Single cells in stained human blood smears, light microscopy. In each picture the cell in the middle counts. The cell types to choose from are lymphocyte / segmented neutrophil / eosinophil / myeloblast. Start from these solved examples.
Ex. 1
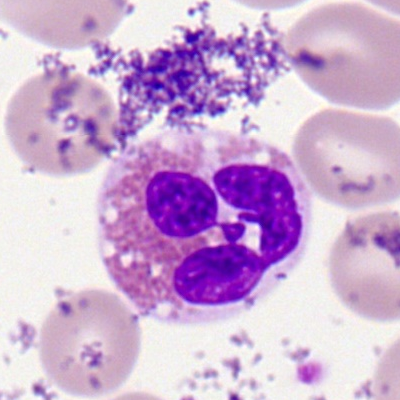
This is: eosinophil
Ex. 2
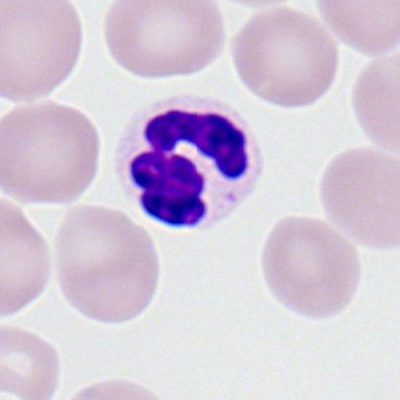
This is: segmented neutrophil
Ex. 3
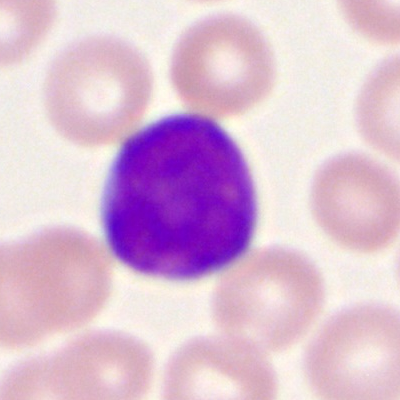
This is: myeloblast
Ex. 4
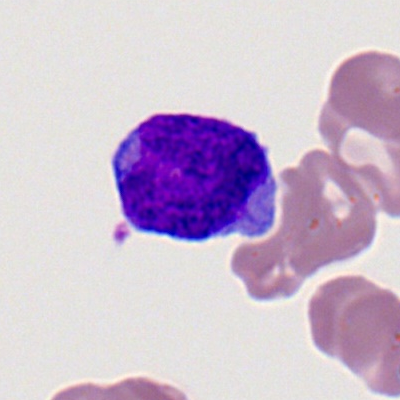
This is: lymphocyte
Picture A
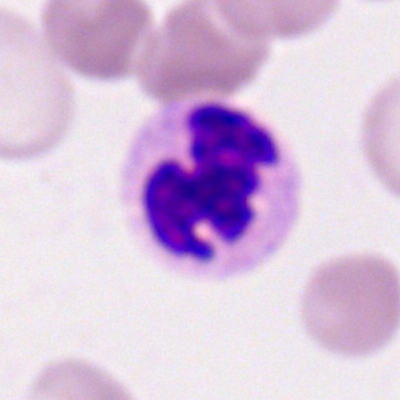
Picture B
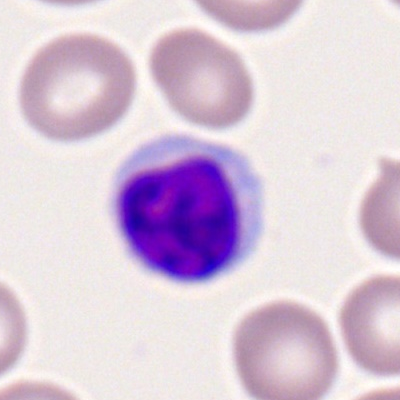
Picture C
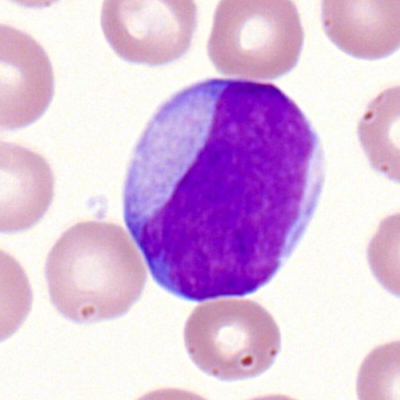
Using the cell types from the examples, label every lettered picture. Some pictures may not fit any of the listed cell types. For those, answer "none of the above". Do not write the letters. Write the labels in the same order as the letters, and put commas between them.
segmented neutrophil, lymphocyte, myeloblast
